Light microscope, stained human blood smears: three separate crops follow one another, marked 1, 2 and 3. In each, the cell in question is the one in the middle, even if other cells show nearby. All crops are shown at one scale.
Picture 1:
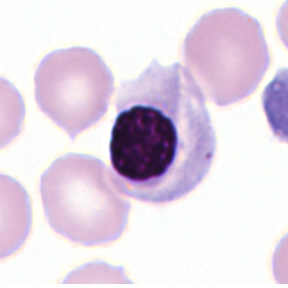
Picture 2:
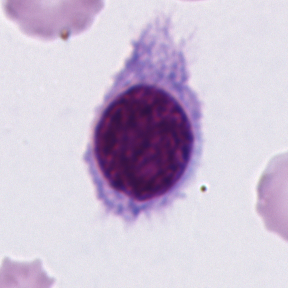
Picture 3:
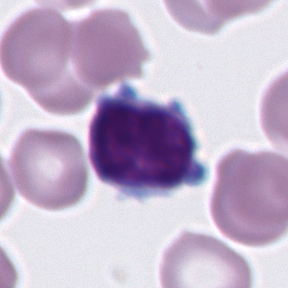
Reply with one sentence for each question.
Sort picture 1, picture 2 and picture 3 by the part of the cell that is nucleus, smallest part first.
From the least filled to the most, the order is 1, 2, 3.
